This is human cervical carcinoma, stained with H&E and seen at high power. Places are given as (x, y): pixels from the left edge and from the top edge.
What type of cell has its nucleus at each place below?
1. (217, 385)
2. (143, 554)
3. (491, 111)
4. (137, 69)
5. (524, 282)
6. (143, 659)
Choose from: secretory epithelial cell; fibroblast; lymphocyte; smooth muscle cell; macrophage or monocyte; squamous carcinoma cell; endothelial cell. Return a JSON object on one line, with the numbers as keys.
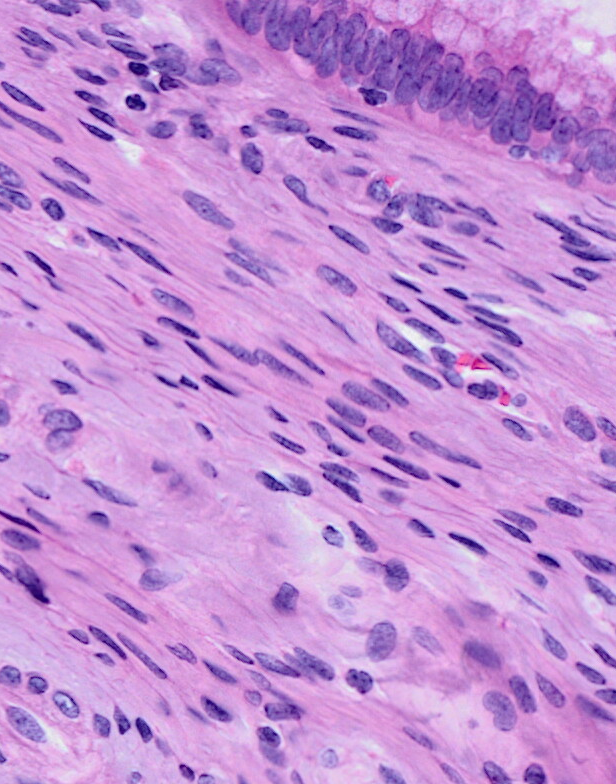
{"1": "fibroblast", "2": "fibroblast", "3": "secretory epithelial cell", "4": "lymphocyte", "5": "fibroblast", "6": "fibroblast"}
